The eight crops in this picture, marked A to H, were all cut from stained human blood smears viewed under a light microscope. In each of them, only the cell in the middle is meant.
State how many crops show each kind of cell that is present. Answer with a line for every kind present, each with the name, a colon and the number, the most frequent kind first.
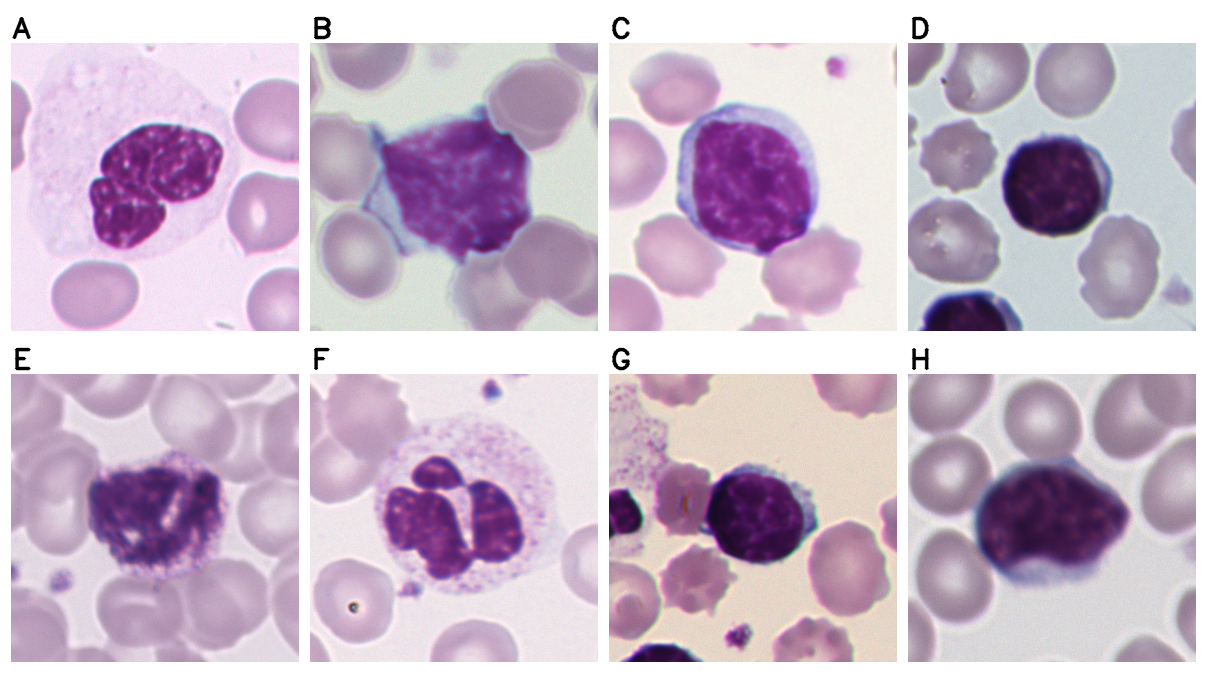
typical lymphocyte: 5
segmented neutrophil: 2
basophil: 1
